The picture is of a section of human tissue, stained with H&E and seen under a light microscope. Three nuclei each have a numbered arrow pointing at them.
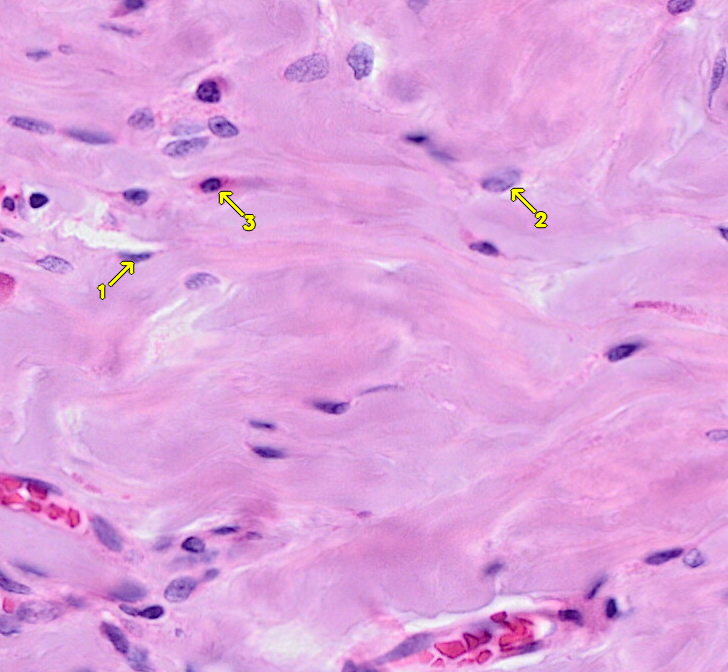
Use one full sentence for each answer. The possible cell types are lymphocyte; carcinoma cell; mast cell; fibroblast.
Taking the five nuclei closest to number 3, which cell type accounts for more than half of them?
Most of the five nuclei nearest to number 3 are those of fibroblasts.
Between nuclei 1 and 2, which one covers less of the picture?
With nucleus 2 about 2 times its size, nucleus 1 is the smaller of the two.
